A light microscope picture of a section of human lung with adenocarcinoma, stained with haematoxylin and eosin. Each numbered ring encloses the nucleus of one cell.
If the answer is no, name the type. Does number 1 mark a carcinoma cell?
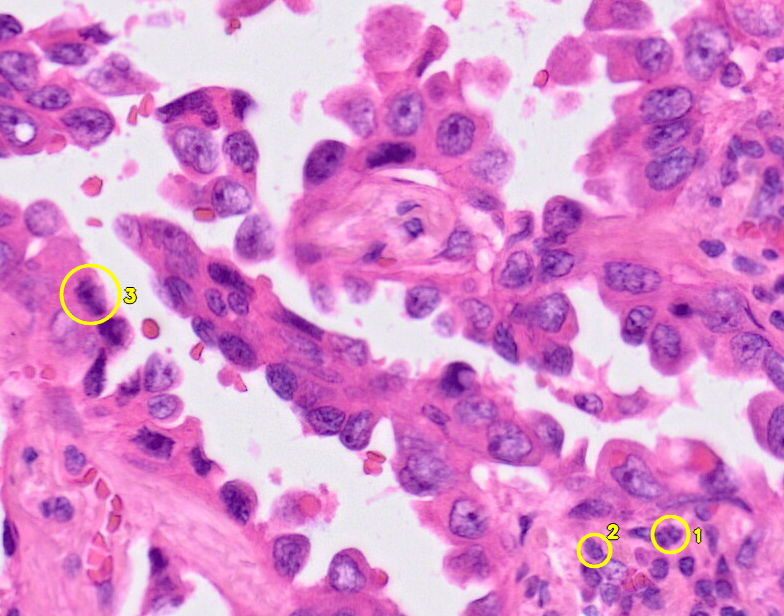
No, it is a lymphocyte.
